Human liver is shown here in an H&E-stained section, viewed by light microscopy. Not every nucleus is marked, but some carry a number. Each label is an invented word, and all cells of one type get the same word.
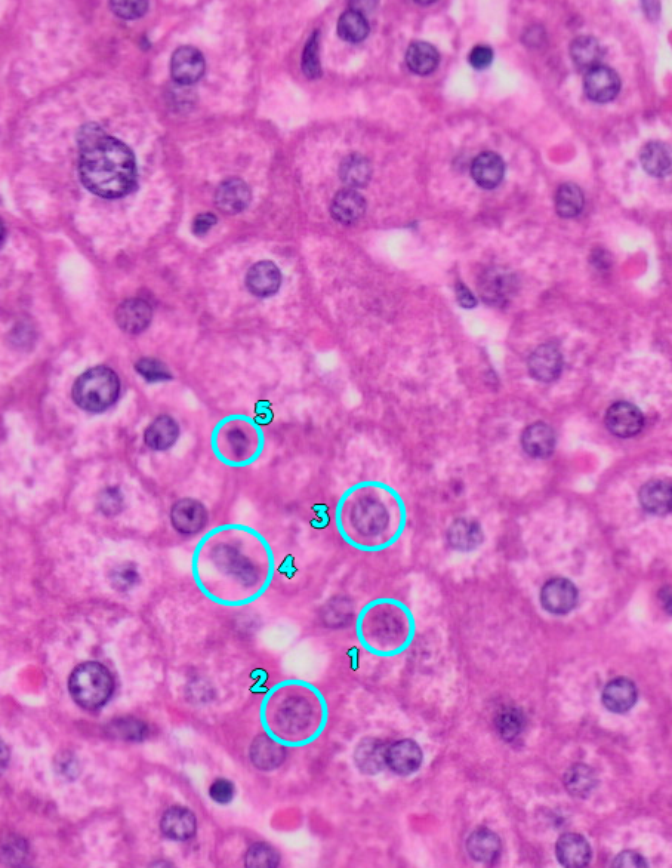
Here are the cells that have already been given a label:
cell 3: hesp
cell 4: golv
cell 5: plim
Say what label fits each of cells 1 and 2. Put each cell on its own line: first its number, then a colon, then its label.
1: hesp
2: hesp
